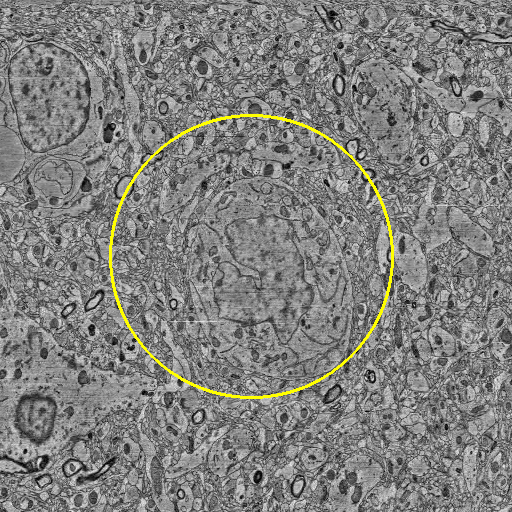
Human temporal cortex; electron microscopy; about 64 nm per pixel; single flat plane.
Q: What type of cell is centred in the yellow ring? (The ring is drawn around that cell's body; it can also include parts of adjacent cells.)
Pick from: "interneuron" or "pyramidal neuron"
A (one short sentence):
The yellow ring is centred on an interneuron.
